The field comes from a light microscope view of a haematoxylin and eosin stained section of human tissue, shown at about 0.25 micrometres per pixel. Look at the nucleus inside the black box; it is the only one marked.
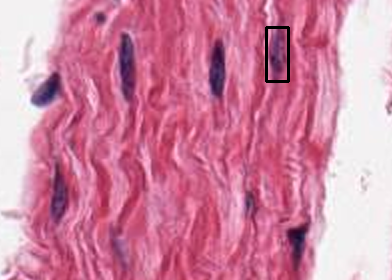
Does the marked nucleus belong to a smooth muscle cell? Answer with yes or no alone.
yes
